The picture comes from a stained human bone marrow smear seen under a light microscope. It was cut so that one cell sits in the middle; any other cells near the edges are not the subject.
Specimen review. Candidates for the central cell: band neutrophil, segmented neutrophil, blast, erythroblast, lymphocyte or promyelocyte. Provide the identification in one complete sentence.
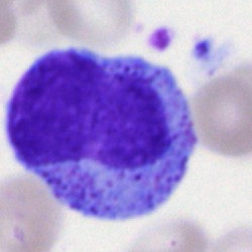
By type, the central cell of the crop is a promyelocyte.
